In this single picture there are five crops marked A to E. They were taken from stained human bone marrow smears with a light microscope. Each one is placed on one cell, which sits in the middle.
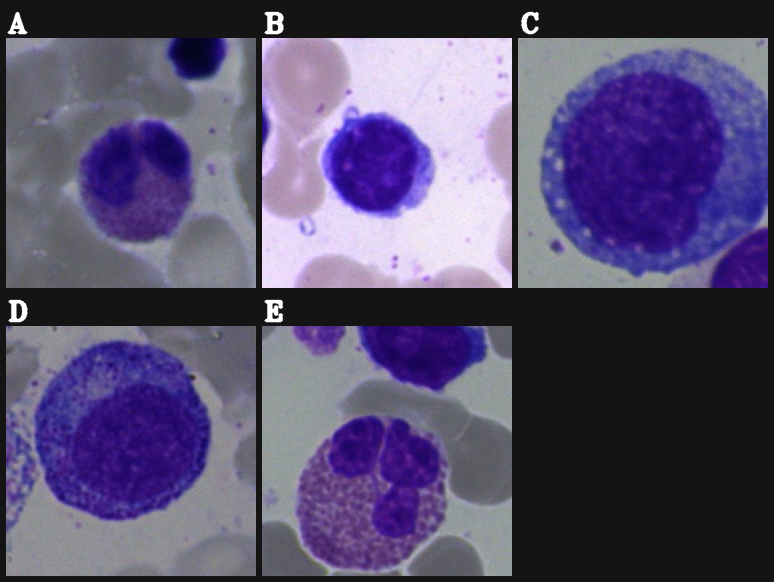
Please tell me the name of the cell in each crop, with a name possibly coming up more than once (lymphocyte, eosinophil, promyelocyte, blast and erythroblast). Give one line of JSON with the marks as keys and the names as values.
{"A": "eosinophil", "B": "lymphocyte", "C": "promyelocyte", "D": "promyelocyte", "E": "eosinophil"}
